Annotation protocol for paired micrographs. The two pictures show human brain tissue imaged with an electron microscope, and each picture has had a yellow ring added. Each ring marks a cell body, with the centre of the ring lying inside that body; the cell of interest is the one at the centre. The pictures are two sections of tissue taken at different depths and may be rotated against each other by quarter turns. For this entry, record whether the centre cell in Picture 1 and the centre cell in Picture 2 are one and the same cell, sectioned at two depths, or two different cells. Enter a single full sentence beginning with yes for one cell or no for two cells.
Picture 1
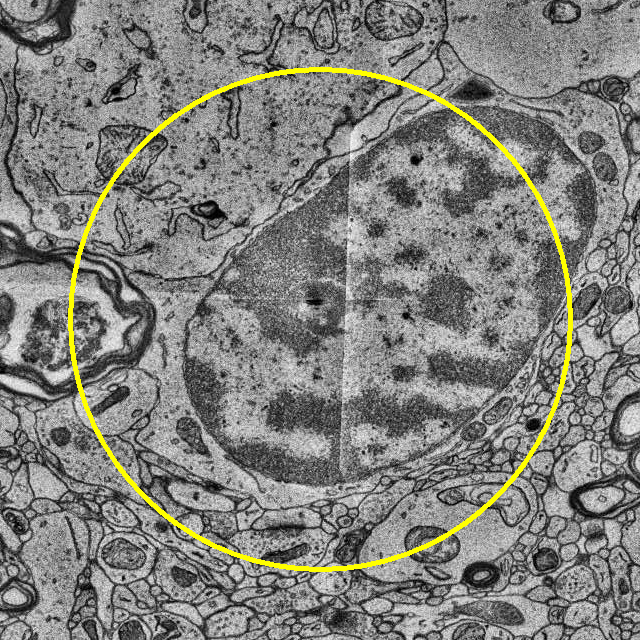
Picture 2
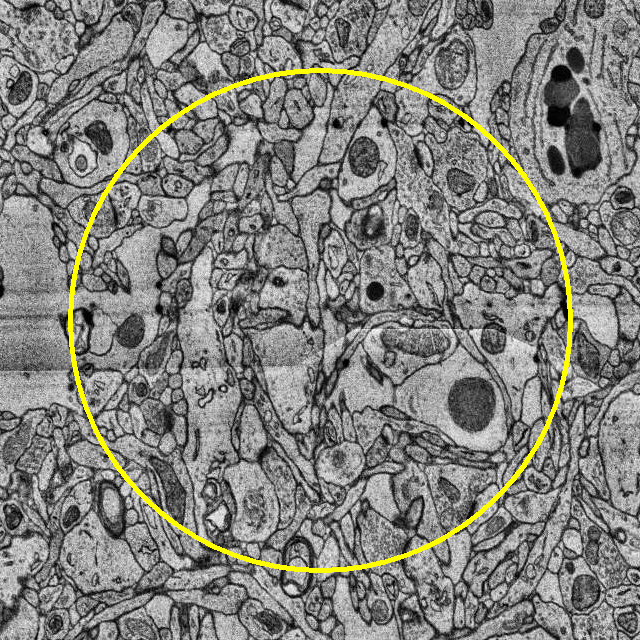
No, there are two different cells marked by the rings.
